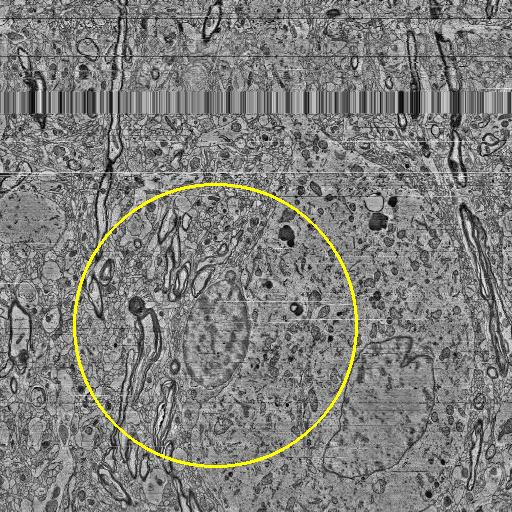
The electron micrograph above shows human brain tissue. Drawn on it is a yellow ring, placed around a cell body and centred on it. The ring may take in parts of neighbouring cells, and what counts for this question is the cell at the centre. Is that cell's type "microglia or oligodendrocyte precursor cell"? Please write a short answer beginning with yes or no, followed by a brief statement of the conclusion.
No, its type is another one.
